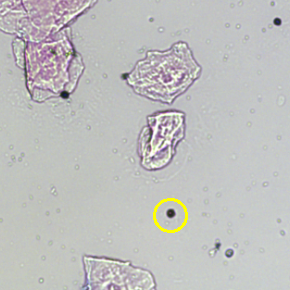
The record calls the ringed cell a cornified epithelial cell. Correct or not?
Not correct; it is a leukocyte.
